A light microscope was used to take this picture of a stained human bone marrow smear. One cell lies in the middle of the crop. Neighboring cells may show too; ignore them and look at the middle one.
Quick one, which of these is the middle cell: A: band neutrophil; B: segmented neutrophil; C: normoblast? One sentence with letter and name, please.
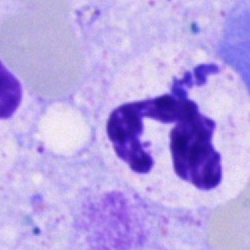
Option B is correct, and the cell in the centre is a segmented neutrophil.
